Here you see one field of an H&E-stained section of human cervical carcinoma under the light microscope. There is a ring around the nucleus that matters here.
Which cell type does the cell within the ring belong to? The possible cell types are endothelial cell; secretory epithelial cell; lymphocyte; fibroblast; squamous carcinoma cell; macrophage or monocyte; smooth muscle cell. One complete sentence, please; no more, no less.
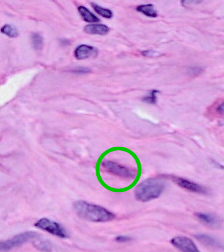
As to its cell type, the cell within the ring is a smooth muscle cell.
